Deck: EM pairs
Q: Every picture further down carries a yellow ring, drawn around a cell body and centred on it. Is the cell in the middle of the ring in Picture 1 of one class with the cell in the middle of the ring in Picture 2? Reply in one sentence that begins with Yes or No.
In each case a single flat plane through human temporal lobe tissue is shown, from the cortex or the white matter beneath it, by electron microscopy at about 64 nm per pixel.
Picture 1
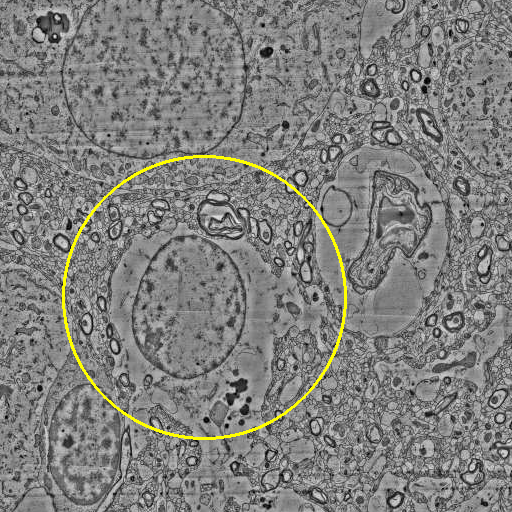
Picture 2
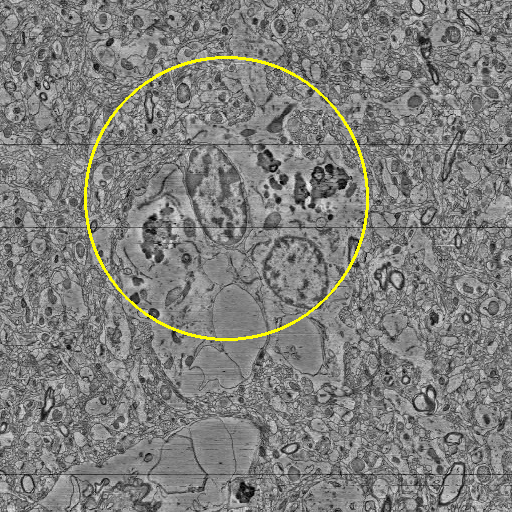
No, the cell centred in the ring of Picture 1 and the one in Picture 2 belong to separate classes.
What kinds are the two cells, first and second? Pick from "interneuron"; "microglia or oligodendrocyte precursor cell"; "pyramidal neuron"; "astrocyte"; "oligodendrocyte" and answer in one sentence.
The second picture holds a microglial cell or oligodendrocyte precursor cell in its ring, and the first holds an astrocyte.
